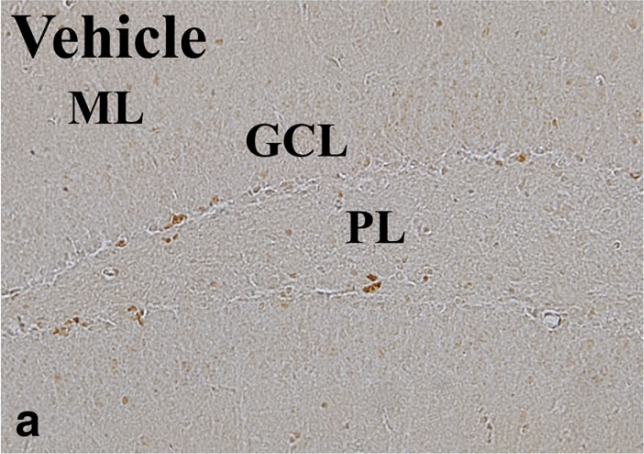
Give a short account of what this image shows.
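Brown nuclei are small and oval, some in pairs. The molecular layer is pale and sparsely cellular. Thin clear spaces, likely small vessels, run along the subgranular border. Faintly tan nuclei are scattered in the polymorphic layer.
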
